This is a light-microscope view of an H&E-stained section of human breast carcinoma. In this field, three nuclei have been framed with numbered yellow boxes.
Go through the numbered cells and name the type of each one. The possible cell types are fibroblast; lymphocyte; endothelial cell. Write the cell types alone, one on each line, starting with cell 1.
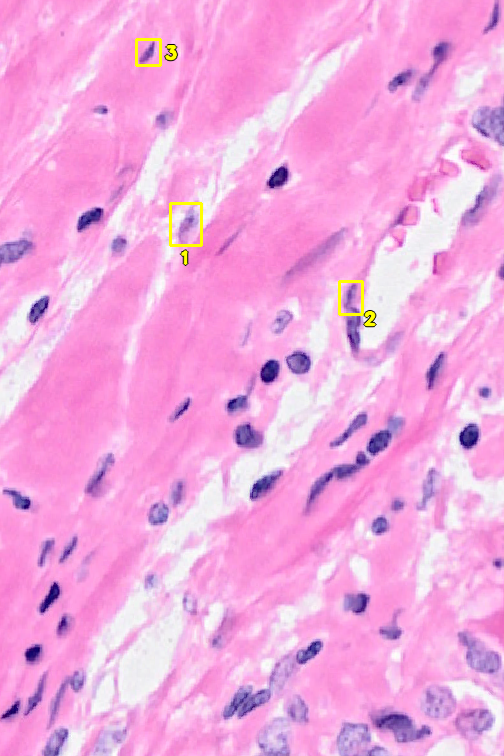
fibroblast
endothelial cell
fibroblast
